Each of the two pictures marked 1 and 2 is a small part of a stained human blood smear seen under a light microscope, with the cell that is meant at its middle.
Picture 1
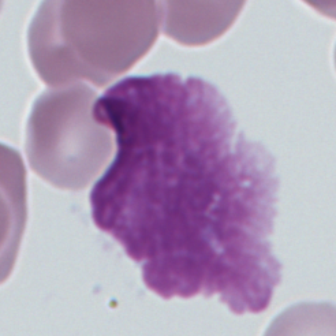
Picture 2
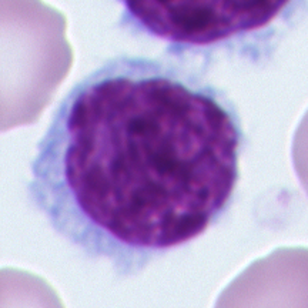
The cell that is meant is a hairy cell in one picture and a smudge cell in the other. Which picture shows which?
1: smudge cell
2: hairy cell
